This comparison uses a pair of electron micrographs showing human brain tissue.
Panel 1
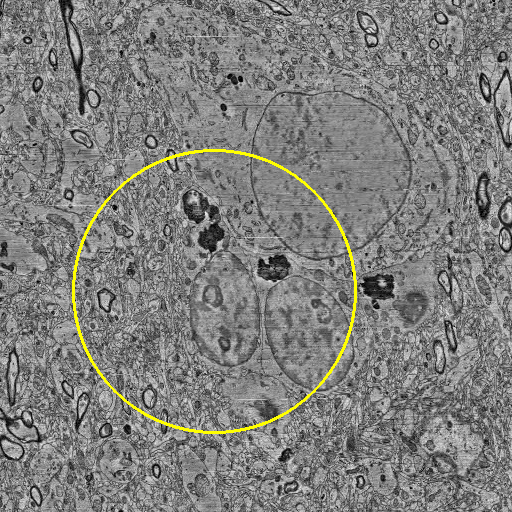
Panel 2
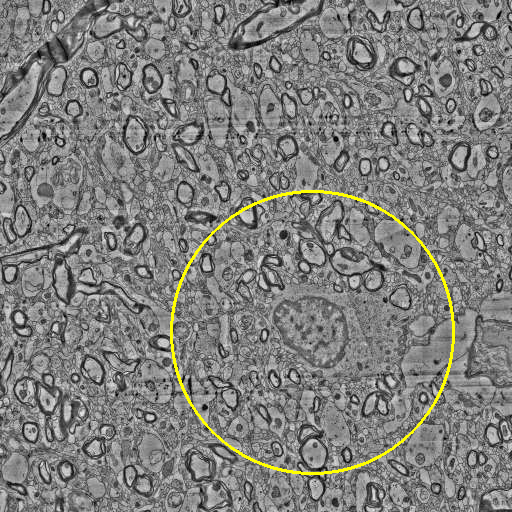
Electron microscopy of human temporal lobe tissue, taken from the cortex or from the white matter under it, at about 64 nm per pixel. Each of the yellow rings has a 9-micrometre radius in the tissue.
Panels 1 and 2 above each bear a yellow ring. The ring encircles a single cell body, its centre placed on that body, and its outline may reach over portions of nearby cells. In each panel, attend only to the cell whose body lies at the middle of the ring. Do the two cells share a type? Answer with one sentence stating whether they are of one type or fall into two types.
In Panel 1 and Panel 2, the cells at the centres of the rings are of one type.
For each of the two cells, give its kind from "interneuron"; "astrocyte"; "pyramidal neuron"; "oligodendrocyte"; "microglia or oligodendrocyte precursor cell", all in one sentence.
The first and the second cell are each an oligodendrocyte.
